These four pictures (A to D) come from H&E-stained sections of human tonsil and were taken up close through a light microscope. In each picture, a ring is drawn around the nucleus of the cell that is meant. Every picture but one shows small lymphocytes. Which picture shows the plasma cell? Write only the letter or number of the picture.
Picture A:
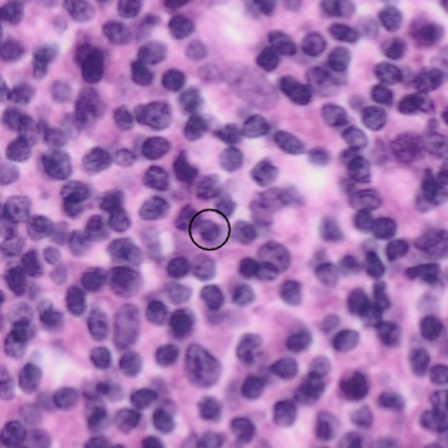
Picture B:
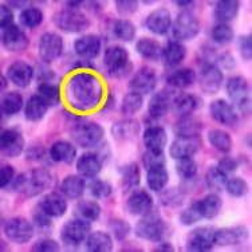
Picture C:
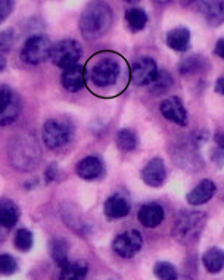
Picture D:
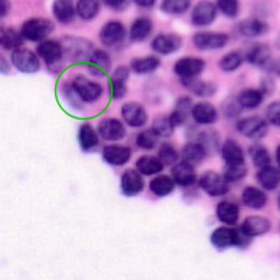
C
